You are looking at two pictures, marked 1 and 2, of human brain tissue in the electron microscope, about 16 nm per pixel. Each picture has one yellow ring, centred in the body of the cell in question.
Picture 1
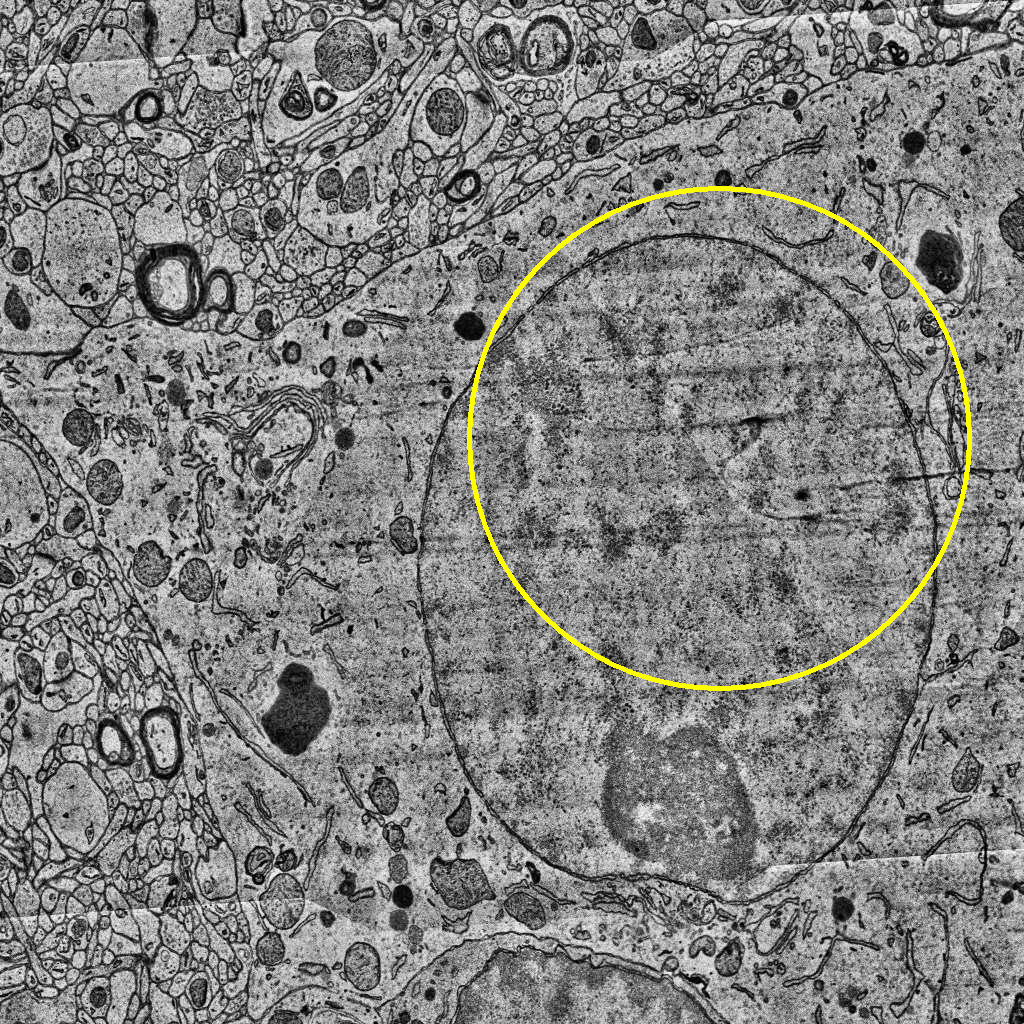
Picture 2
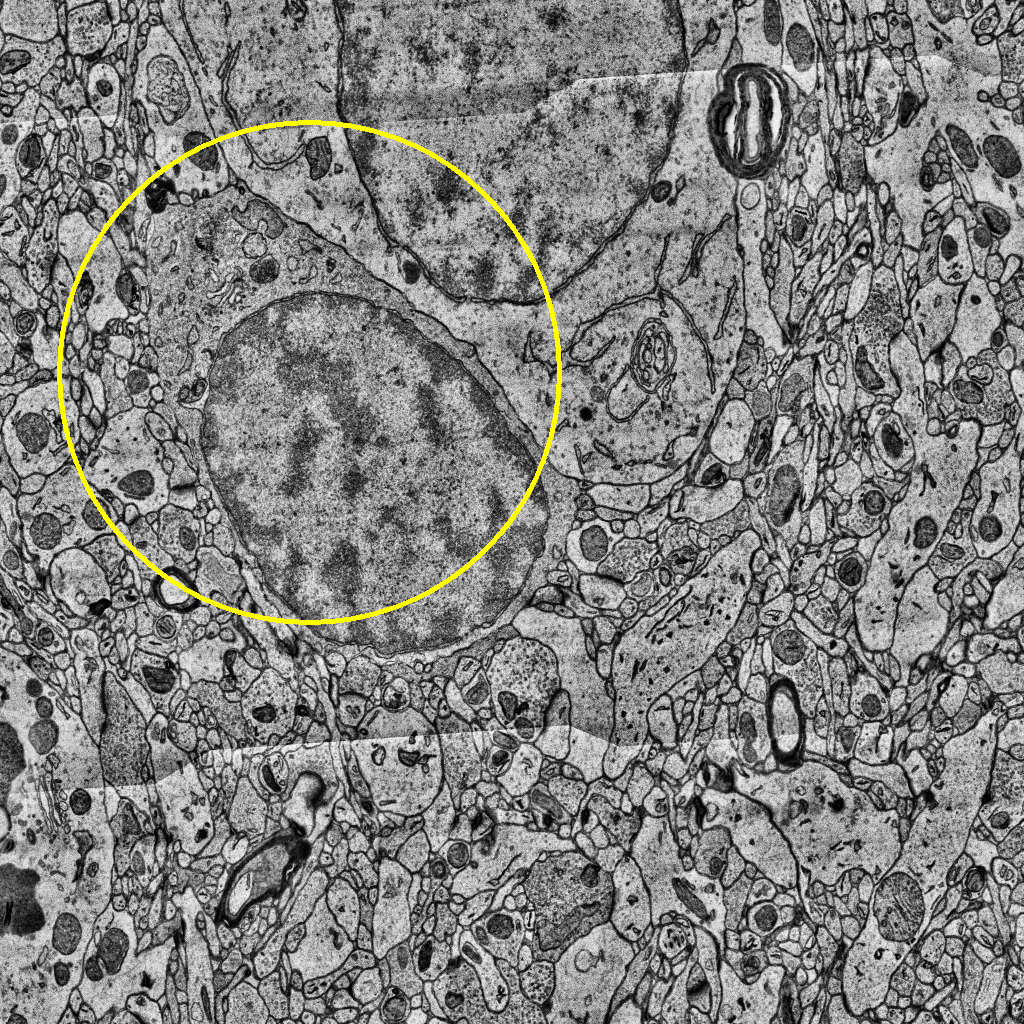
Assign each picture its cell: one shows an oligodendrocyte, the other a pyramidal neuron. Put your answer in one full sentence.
Picture 1 shows a pyramidal neuron and picture 2 shows an oligodendrocyte.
